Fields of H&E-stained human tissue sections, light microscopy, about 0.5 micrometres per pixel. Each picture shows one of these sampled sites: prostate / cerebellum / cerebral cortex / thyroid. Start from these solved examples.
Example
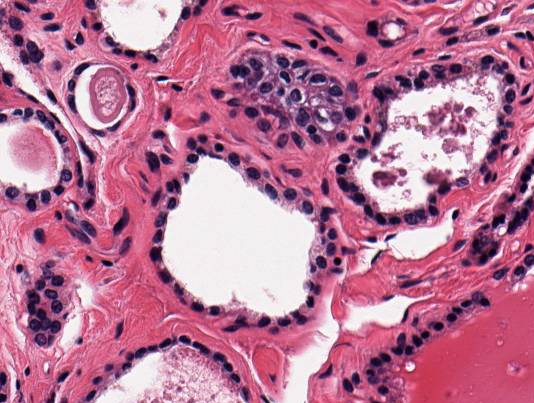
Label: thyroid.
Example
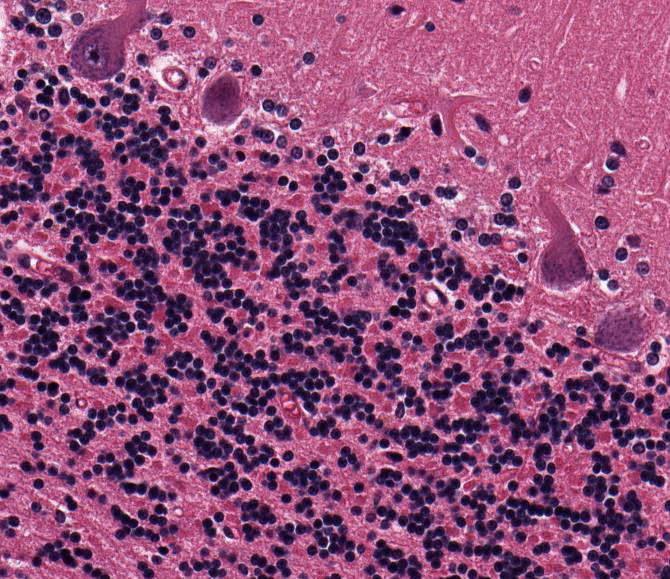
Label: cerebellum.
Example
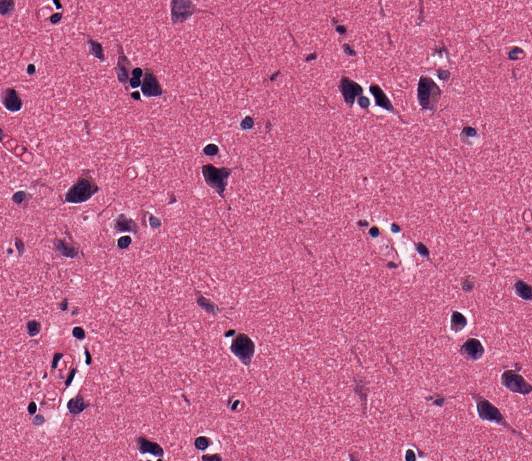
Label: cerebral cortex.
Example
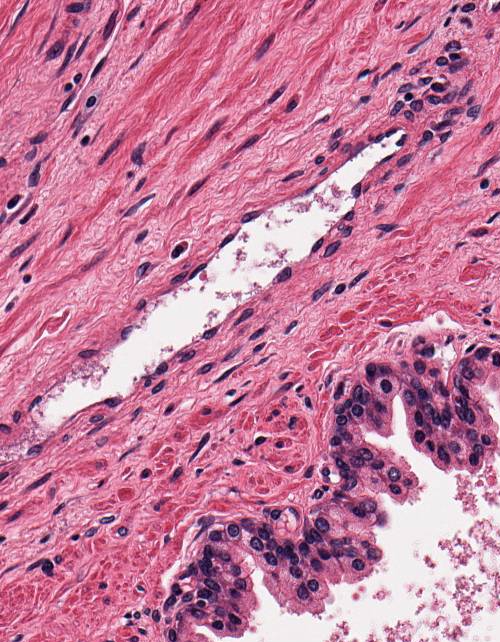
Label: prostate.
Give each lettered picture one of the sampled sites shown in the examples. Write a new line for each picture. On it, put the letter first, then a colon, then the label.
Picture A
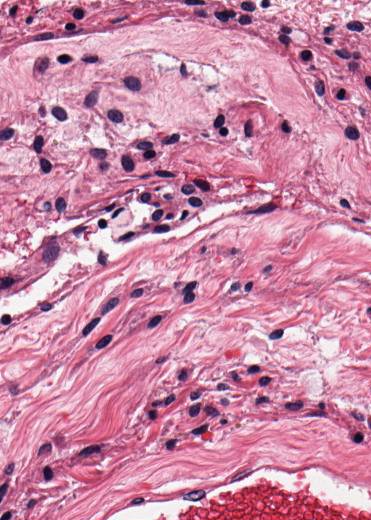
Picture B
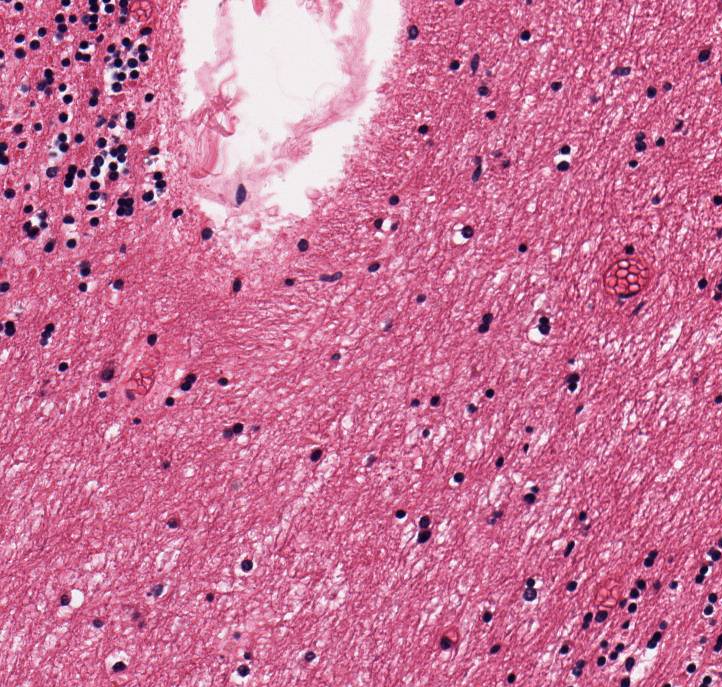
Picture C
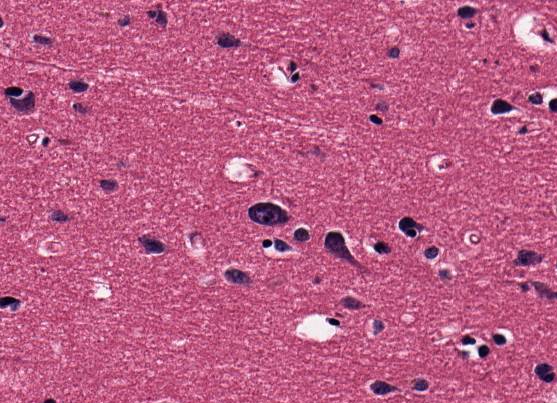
A: cerebellum.
B: cerebellum.
C: cerebral cortex.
